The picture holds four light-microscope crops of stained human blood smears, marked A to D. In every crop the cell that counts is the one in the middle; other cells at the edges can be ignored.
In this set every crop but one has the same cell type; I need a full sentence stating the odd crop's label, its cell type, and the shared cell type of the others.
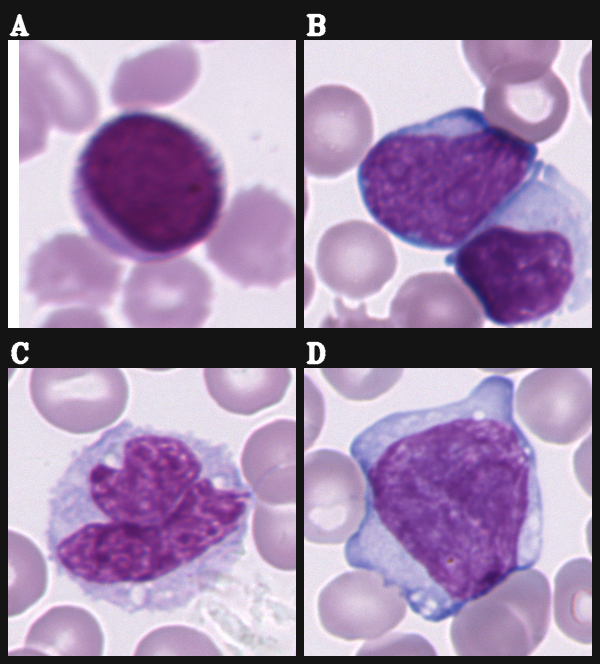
The odd one out is crop C, a monocyte, and all other crops show myeloblasts.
